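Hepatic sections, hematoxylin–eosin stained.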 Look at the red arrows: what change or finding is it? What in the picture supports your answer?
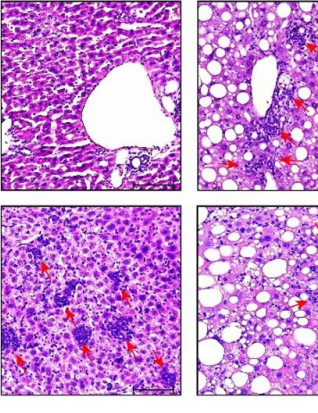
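Red arrows point to dense clusters of small, dark purple round nuclei. The clusters lie among larger pink hepatocytes with paler nuclei. Some clusters sit next to vessels, others within the lobule. So: inflammatory foci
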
